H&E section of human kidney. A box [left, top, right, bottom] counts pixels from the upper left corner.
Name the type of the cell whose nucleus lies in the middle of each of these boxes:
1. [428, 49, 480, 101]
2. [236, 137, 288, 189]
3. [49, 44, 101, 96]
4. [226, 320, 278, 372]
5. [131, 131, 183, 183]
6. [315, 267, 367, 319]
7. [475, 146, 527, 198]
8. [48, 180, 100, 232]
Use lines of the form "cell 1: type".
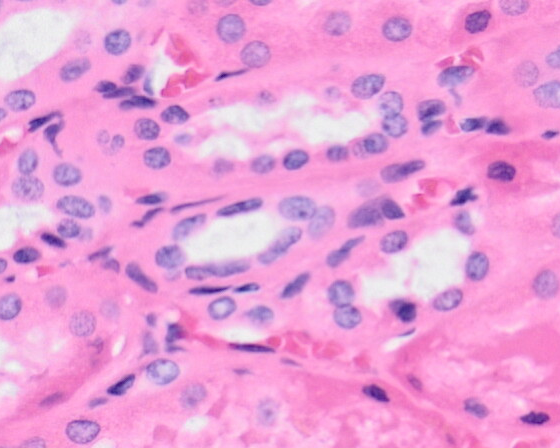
cell 1: endothelial cell
cell 2: loop of Henle or distal tubule cell
cell 3: collecting duct cell
cell 4: endothelial cell
cell 5: loop of Henle or distal tubule cell
cell 6: loop of Henle or distal tubule cell
cell 7: proximal tubule cell
cell 8: collecting duct cell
